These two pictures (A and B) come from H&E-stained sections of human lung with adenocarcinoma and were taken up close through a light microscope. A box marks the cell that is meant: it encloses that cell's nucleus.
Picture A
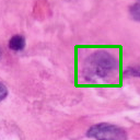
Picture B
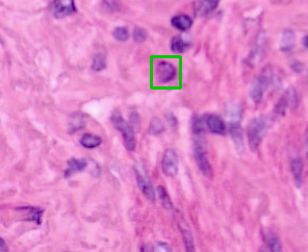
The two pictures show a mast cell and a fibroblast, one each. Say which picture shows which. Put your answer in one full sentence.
Picture A shows a fibroblast and picture B shows a mast cell.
